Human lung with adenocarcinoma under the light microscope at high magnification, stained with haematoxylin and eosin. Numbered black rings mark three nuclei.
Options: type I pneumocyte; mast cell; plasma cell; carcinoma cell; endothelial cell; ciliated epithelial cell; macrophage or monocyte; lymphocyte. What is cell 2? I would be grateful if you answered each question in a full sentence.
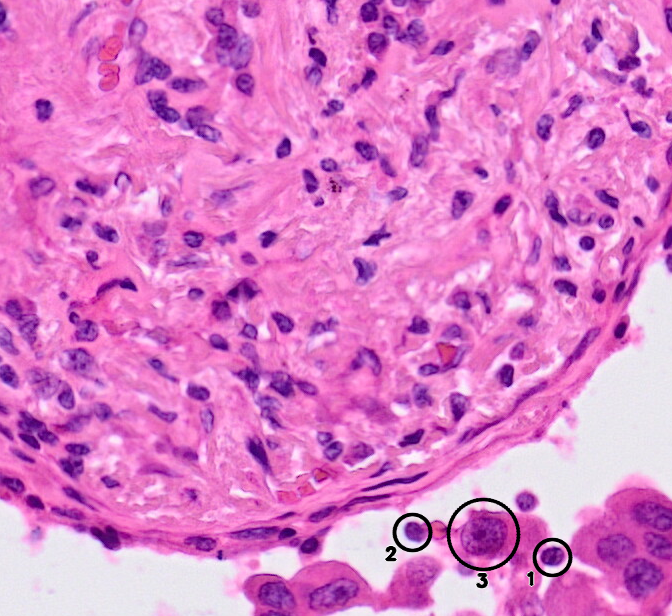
Regarding cell 2, this one is a lymphocyte.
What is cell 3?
Marked with the number 3, this cell is a carcinoma cell.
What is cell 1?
Corresponding to a lymphocyte is the cell labelled 1.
